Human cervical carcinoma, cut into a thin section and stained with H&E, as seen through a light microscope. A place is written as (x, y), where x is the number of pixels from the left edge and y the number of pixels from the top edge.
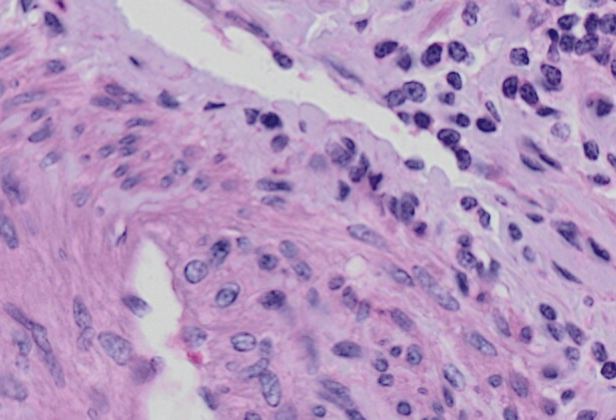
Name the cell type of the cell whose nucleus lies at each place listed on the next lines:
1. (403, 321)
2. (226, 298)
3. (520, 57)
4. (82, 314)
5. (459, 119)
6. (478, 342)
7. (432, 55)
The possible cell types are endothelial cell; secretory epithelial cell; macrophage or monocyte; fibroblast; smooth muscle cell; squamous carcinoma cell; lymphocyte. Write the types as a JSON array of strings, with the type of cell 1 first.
["smooth muscle cell", "smooth muscle cell", "lymphocyte", "smooth muscle cell", "lymphocyte", "smooth muscle cell", "lymphocyte"]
